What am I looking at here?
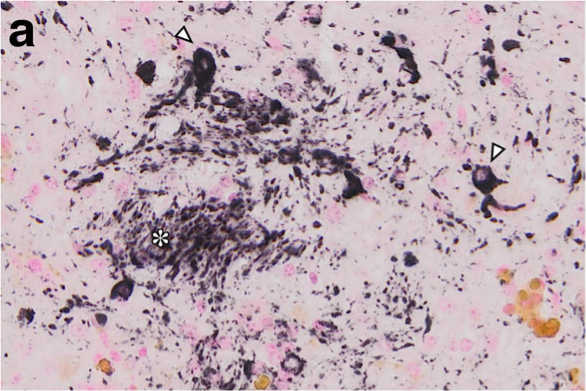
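Scattered around them are small rounded cells whose bodies are ringed by dark deposit, some with short curved processes leaving them. A few golden-brown pigmented granules lie at the edge.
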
